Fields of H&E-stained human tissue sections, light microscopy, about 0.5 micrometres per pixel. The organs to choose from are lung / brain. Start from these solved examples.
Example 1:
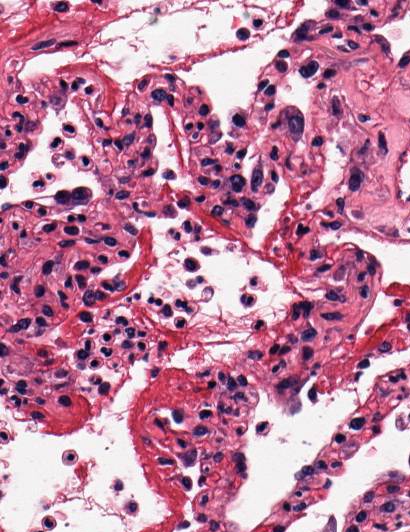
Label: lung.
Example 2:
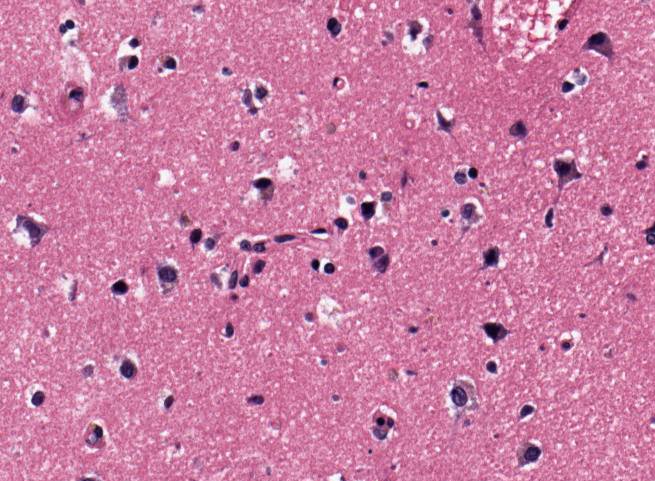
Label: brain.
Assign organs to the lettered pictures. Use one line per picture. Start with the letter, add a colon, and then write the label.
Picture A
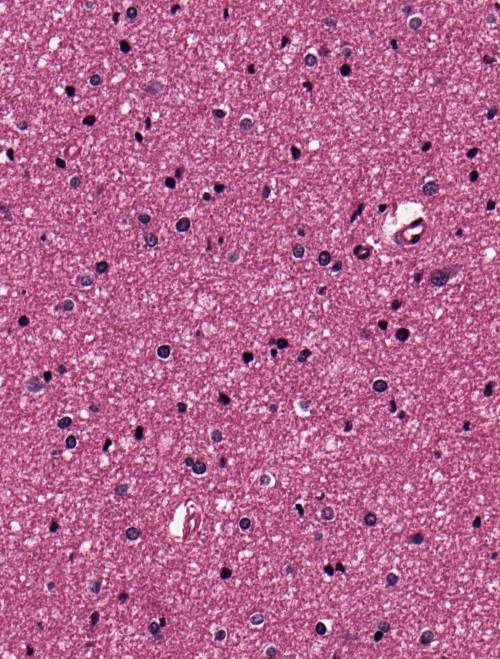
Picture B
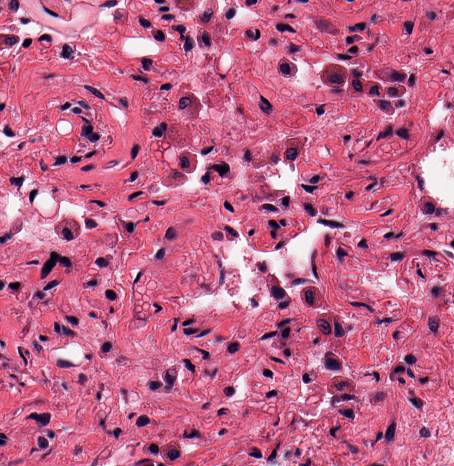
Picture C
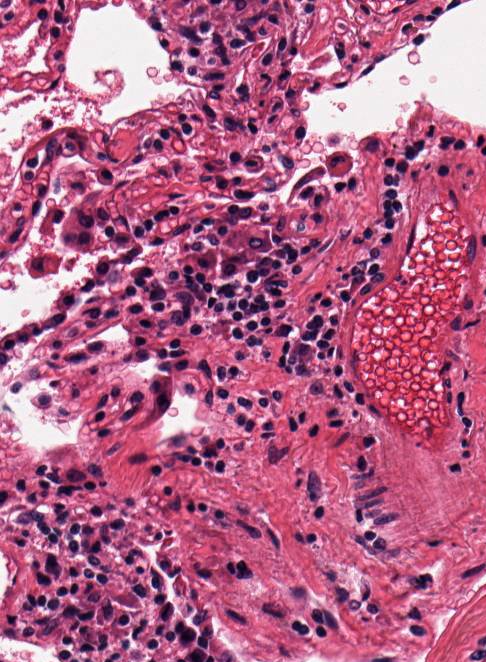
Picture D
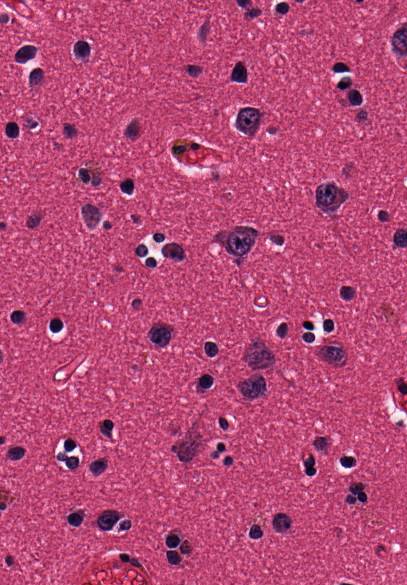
A: brain.
B: lung.
C: lung.
D: brain.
